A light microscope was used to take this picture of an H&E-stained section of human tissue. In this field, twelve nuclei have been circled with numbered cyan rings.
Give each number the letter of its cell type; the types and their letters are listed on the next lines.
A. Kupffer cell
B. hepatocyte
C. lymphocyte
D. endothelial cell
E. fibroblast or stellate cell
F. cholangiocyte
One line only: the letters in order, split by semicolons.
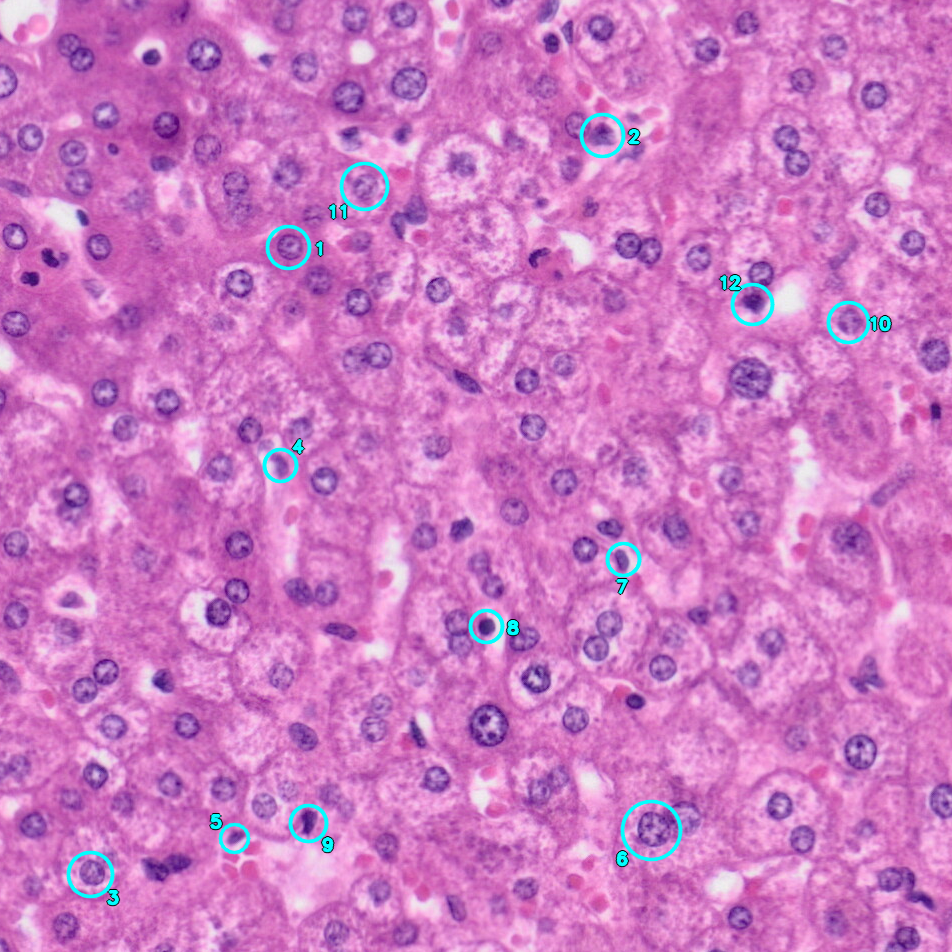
B; D; B; A; C; B; C; C; E; B; B; D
